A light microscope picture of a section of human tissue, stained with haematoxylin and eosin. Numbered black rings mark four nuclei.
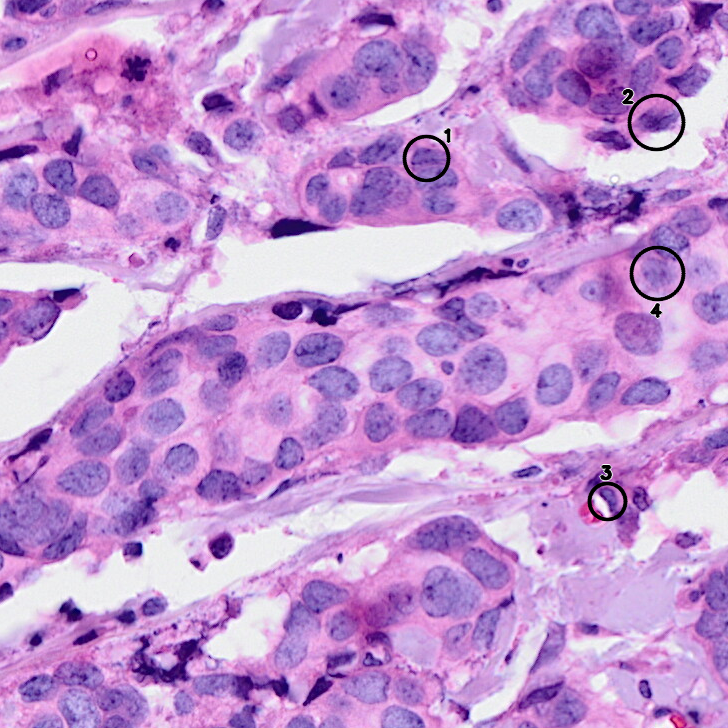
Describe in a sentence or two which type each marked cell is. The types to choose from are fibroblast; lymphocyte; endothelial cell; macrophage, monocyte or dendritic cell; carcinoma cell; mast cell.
Cells 1, 2 and 4 are carcinoma cells. Cell 3 is an endothelial cell.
